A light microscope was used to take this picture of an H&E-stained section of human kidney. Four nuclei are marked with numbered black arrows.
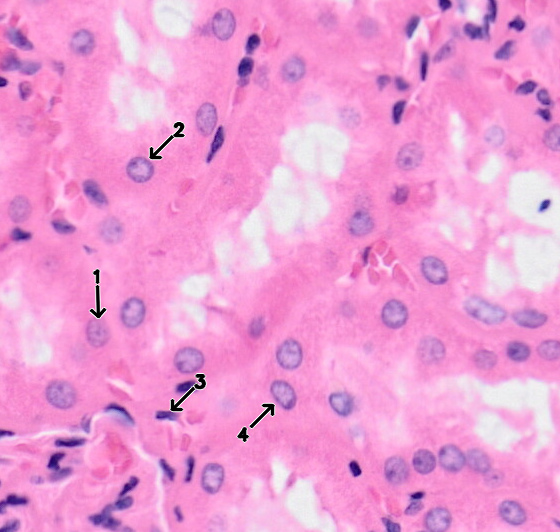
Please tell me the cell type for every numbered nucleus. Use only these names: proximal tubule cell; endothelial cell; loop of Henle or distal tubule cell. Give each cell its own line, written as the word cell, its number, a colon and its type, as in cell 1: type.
cell 1: proximal tubule cell
cell 2: proximal tubule cell
cell 3: endothelial cell
cell 4: proximal tubule cell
